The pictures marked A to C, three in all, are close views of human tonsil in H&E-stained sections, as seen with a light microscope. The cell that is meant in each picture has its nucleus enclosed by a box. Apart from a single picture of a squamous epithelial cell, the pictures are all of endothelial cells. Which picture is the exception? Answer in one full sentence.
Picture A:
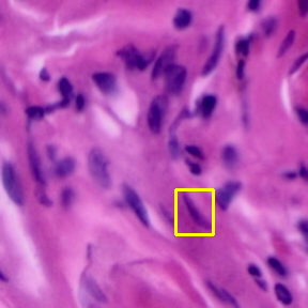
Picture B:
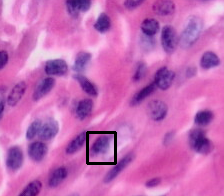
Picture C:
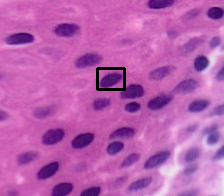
It is picture C that shows the squamous epithelial cell.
